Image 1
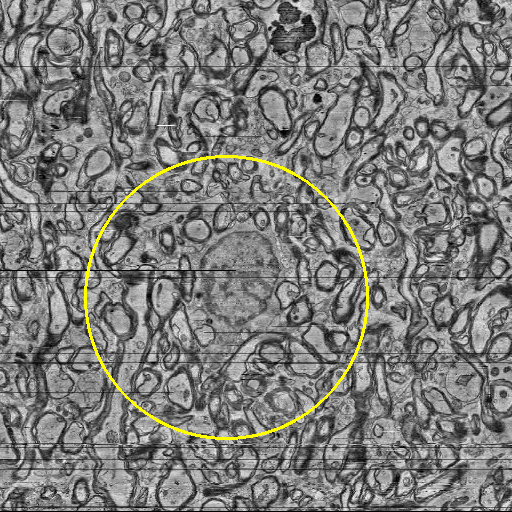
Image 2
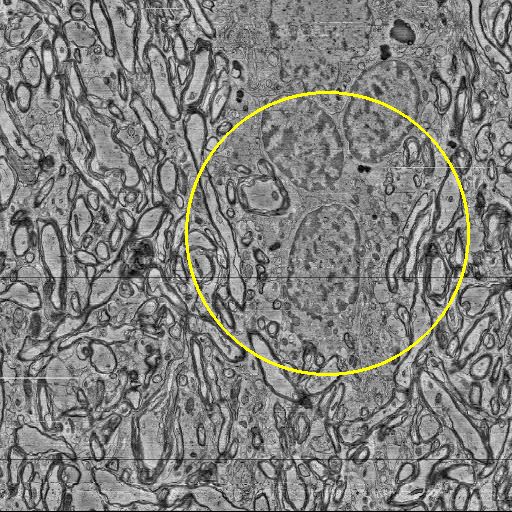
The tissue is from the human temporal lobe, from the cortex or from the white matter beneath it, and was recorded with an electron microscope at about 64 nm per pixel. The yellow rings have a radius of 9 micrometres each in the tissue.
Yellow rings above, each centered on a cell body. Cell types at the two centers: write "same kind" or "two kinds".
same kind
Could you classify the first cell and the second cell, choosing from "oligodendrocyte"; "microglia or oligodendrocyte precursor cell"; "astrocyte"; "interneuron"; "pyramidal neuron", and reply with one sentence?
Each of the two rings is centred on an oligodendrocyte.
